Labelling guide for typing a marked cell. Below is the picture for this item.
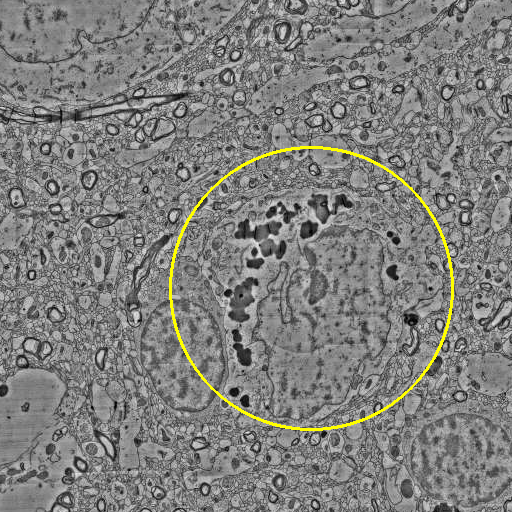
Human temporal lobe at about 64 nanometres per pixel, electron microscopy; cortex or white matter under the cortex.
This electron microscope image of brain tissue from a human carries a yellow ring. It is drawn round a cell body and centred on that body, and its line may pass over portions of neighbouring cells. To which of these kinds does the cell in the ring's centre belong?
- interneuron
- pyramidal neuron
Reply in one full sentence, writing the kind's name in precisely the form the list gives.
Here we have an interneuron at the centre of the yellow ring in the picture.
